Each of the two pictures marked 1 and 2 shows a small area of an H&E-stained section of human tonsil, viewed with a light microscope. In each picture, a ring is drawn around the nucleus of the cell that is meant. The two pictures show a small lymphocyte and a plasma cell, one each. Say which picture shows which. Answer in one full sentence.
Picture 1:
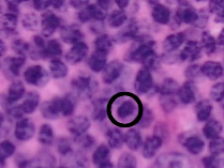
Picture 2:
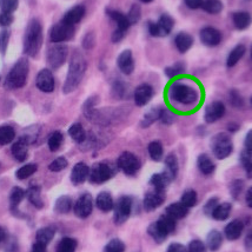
In picture 1 the cell is a small lymphocyte; in picture 2, a plasma cell.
